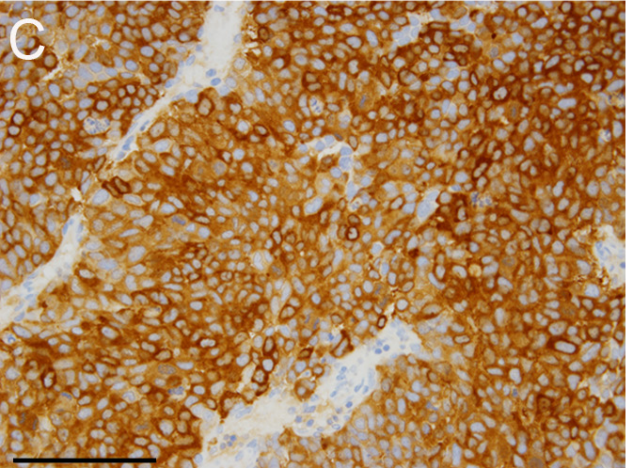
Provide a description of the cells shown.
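Here a tumor of densely packed cells is stained so that the cytoplasm of almost every tumor cell is brown. The nuclei are not stained brown; they show as pale blue oval holes within the brown cell bodies. Because the cytoplasm is thin, the brown often appears as rings outlining each nucleus. The tumor cells lie in large nests separated by narrow pale bands of stroma, where the small cells carry only blue nuclei and no brown.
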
